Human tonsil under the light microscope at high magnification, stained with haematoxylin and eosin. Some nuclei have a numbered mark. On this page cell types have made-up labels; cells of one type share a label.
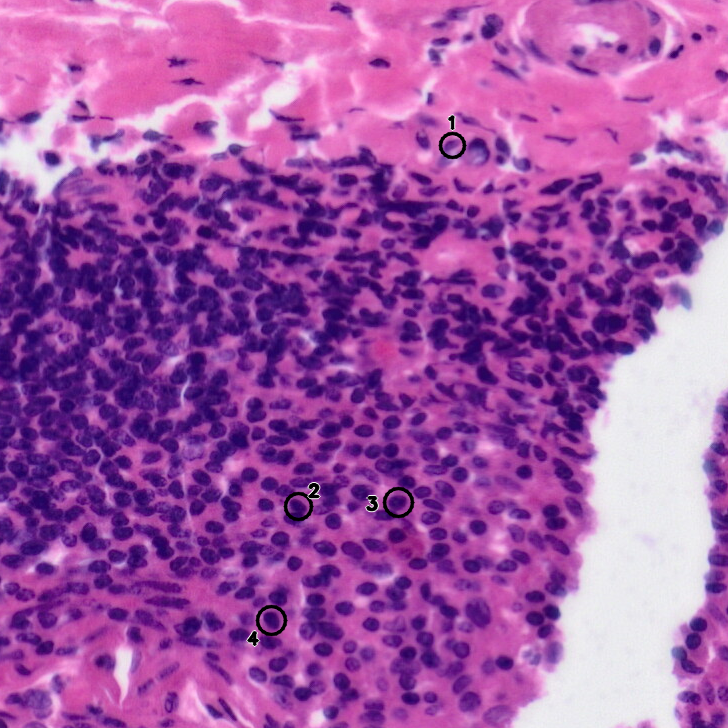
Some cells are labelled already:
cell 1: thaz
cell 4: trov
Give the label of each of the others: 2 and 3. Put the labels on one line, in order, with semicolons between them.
trov; trov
